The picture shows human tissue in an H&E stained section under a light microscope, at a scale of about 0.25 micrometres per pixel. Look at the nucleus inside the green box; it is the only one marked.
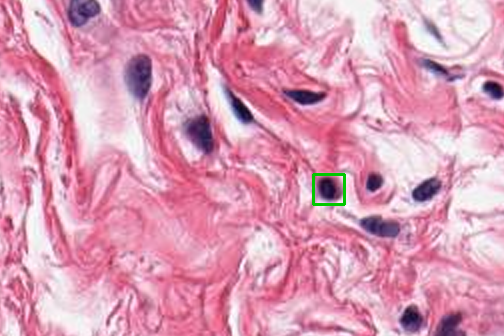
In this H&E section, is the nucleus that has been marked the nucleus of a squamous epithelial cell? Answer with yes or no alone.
no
